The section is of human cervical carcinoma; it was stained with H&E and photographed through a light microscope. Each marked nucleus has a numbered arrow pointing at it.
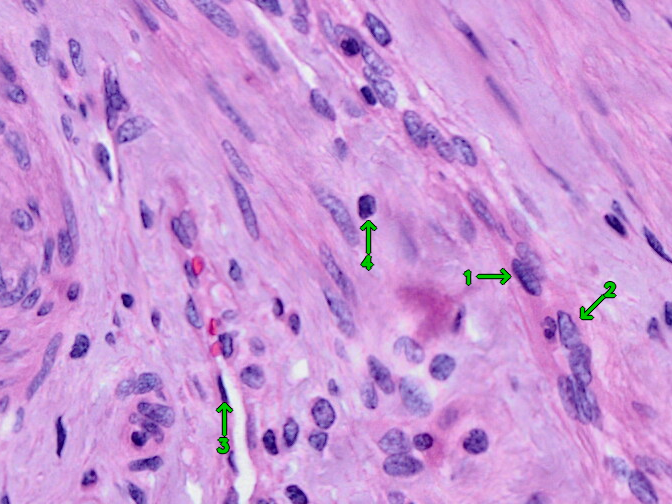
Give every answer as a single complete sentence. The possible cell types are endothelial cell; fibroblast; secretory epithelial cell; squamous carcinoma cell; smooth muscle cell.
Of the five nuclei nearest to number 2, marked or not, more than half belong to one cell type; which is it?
Endothelial cells account for more than half of the five nuclei nearest to number 2.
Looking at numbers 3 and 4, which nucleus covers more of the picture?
Number 4 is larger; its area is about 2 times that of number 3.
